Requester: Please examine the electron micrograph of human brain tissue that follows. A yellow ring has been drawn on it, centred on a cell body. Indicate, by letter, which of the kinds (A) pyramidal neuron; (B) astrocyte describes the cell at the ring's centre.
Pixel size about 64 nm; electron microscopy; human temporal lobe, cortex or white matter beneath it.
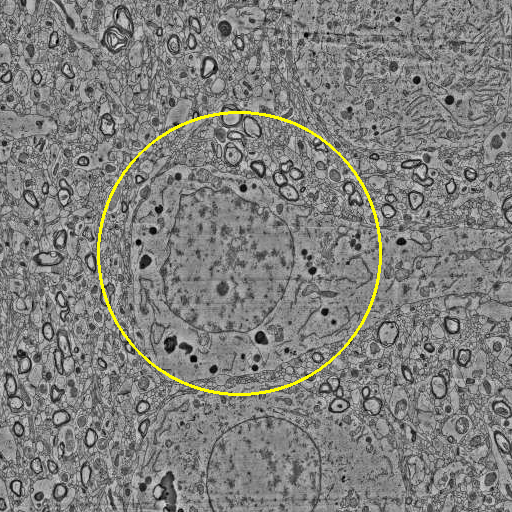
A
